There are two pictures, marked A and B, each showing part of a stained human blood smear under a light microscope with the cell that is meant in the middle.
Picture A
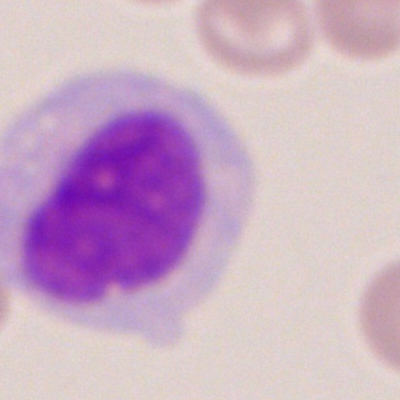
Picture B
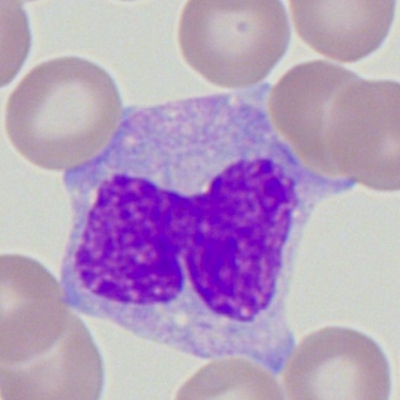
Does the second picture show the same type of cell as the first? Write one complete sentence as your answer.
Yes, both are monocytes.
